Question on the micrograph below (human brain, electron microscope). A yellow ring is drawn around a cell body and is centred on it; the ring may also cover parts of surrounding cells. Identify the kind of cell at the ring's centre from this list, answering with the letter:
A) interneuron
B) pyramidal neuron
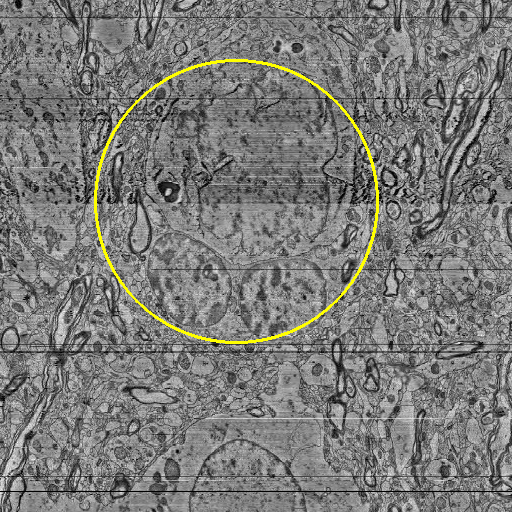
A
